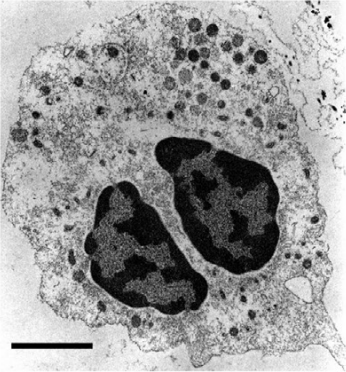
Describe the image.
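A single neutrophil is seen in section, with a nucleus of two large lobes lying in the lower middle of the cell. The nuclear lobes are dark, with clumps of dense chromatin along the edge and paler patches inside. The cytoplasm is largely pale and sparsely filled, with small dense granules scattered mainly in the upper part of the cell. The cell outline is irregular with small surface projections.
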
